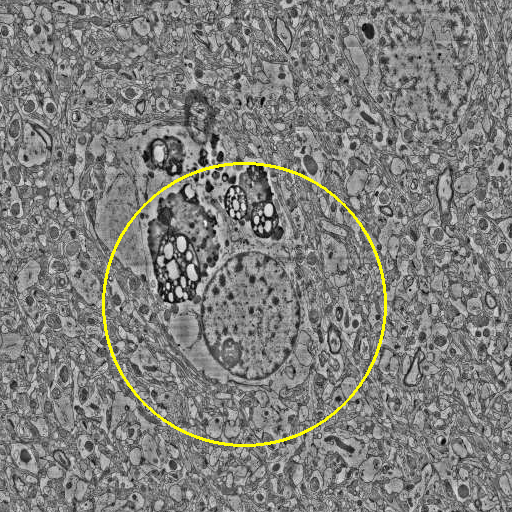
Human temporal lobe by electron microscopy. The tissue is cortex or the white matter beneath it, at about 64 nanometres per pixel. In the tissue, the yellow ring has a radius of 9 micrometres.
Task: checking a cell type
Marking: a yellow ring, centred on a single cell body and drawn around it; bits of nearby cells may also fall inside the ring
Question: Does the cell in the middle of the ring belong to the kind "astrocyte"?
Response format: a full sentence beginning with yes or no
Yes, the cell marked at the ring's centre in the picture is of that kind.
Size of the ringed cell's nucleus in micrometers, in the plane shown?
The nucleus appears roughly 8 by 6 micrometres in this plane.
